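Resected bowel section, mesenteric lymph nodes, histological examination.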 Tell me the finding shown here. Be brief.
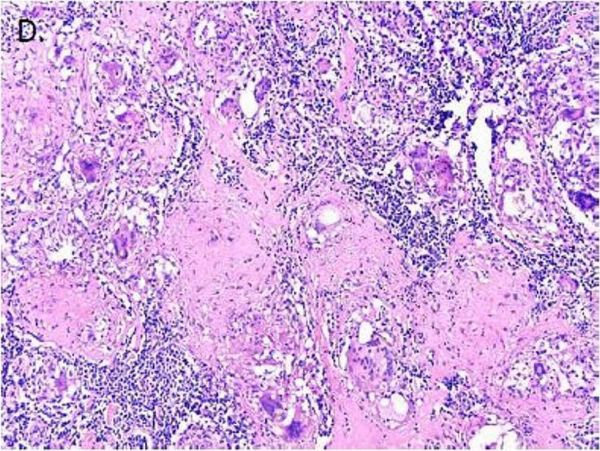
noncaseating giant cell granulomatous response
